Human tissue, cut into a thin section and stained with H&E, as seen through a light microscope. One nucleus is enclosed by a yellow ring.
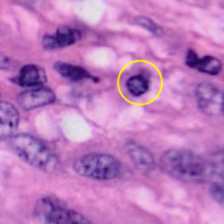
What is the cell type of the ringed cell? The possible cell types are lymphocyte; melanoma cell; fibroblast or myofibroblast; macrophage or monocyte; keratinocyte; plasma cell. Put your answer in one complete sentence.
As for its identity, the ringed cell is a plasma cell.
